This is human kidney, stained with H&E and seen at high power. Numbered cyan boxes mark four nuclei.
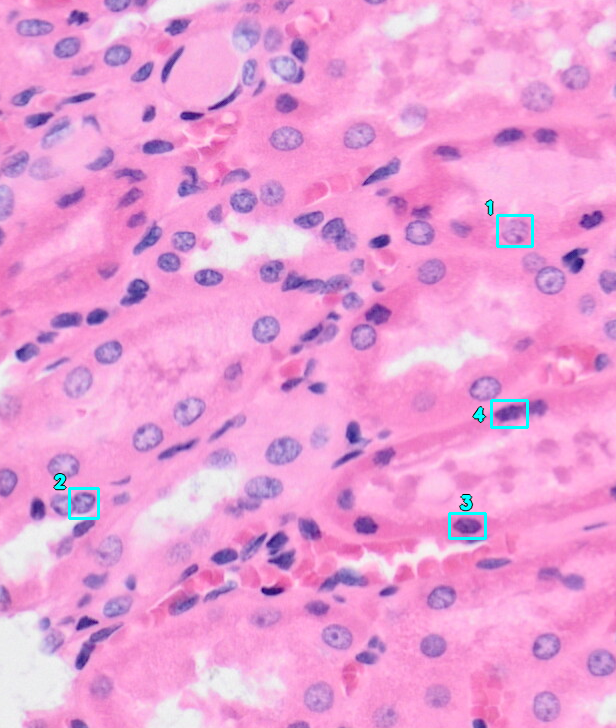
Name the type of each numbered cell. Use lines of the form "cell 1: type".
cell 1: proximal tubule cell
cell 2: loop of Henle or distal tubule cell
cell 3: proximal tubule cell
cell 4: proximal tubule cell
